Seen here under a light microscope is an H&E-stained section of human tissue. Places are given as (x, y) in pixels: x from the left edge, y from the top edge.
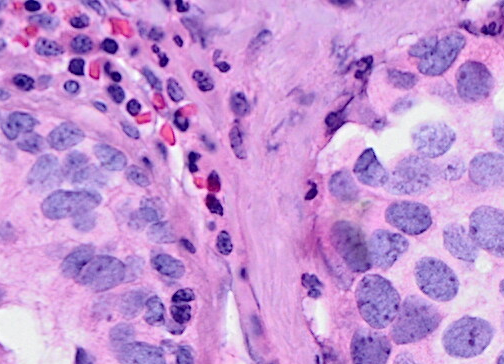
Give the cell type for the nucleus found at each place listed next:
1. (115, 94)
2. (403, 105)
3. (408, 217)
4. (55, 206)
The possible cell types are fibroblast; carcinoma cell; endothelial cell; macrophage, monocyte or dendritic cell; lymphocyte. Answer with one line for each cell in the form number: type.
1: lymphocyte
2: carcinoma cell
3: carcinoma cell
4: carcinoma cell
